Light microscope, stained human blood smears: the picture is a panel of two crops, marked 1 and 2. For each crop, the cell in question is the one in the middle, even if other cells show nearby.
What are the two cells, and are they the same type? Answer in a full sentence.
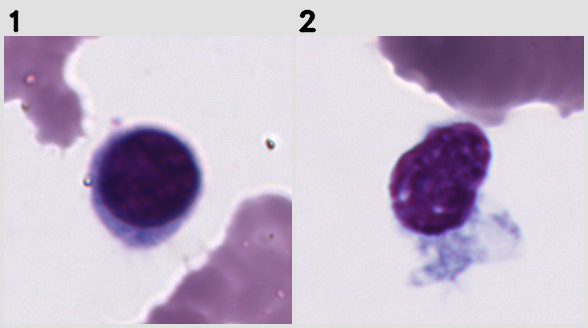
Yes, the two crops share the same answer, hairy cells.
